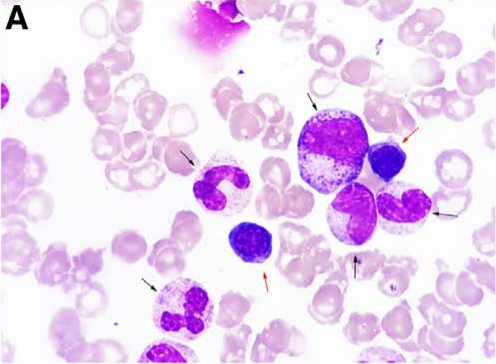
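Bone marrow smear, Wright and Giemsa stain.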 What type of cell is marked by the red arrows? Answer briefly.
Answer: Erythrocytoblasts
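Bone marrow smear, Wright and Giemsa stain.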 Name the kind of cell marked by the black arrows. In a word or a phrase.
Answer: granulocytes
